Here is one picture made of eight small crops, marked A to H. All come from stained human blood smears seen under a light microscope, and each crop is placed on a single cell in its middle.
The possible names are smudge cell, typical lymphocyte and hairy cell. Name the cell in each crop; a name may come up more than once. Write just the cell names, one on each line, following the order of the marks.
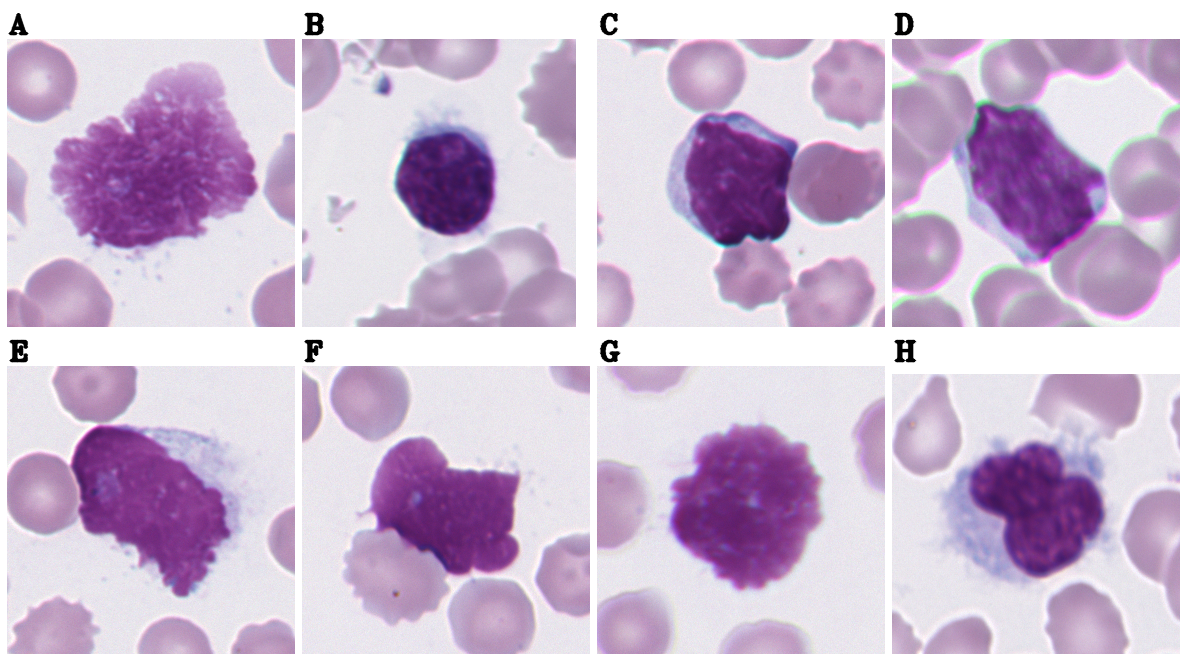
smudge cell
hairy cell
typical lymphocyte
typical lymphocyte
smudge cell
smudge cell
smudge cell
hairy cell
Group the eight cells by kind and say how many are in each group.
smudge cell: 4
hairy cell: 2
typical lymphocyte: 2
